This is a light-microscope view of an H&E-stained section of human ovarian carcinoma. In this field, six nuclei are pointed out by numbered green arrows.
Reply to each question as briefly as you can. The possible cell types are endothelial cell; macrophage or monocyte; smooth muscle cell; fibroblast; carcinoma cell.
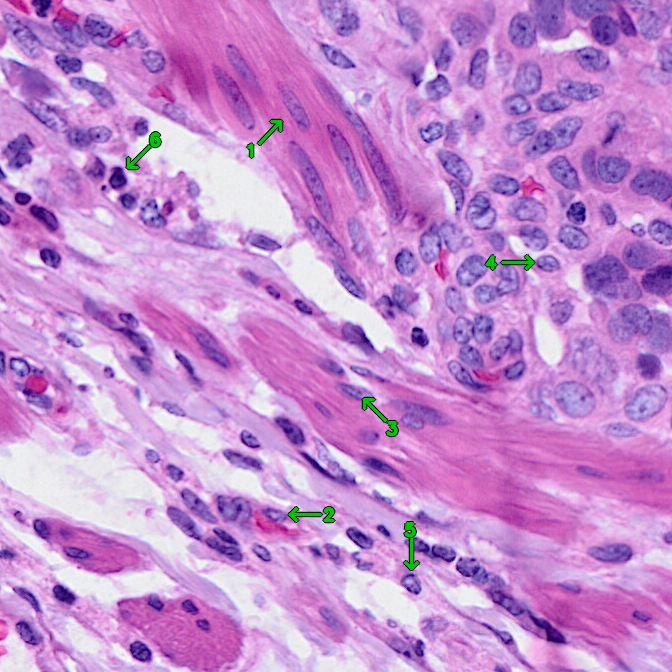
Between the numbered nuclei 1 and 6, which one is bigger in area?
1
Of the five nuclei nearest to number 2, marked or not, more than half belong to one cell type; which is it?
macrophage or monocyte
